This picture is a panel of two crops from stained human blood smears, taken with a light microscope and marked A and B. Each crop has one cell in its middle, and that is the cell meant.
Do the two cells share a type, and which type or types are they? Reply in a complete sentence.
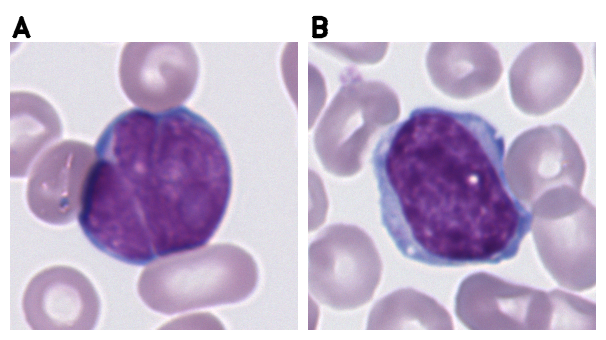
Yes, the cells under consideration in both crops are myeloblasts.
